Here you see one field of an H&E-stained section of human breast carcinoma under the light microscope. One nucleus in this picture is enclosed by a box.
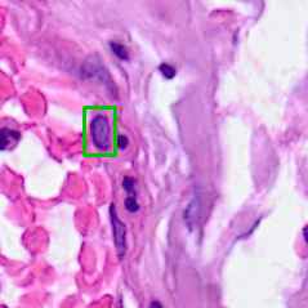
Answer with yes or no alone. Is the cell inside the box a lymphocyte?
no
